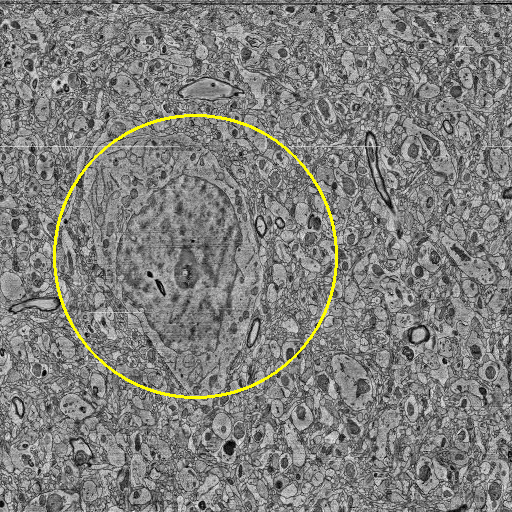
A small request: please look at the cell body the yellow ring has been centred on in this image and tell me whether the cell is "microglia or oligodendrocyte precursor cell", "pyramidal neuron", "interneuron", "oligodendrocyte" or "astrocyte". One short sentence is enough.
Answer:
The cell marked by the ring is an interneuron.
